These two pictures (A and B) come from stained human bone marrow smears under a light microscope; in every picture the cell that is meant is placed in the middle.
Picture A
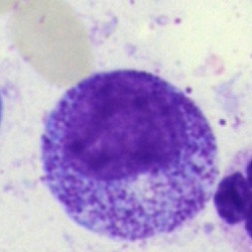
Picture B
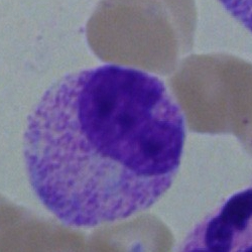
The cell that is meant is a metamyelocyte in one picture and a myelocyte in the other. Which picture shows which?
A: myelocyte
B: metamyelocyte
